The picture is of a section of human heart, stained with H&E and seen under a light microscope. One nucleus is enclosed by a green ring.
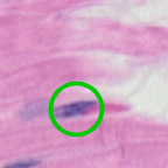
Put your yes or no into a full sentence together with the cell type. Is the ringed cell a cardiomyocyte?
No, the ringed cell is identified as an endothelial cell and not as a cardiomyocyte.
